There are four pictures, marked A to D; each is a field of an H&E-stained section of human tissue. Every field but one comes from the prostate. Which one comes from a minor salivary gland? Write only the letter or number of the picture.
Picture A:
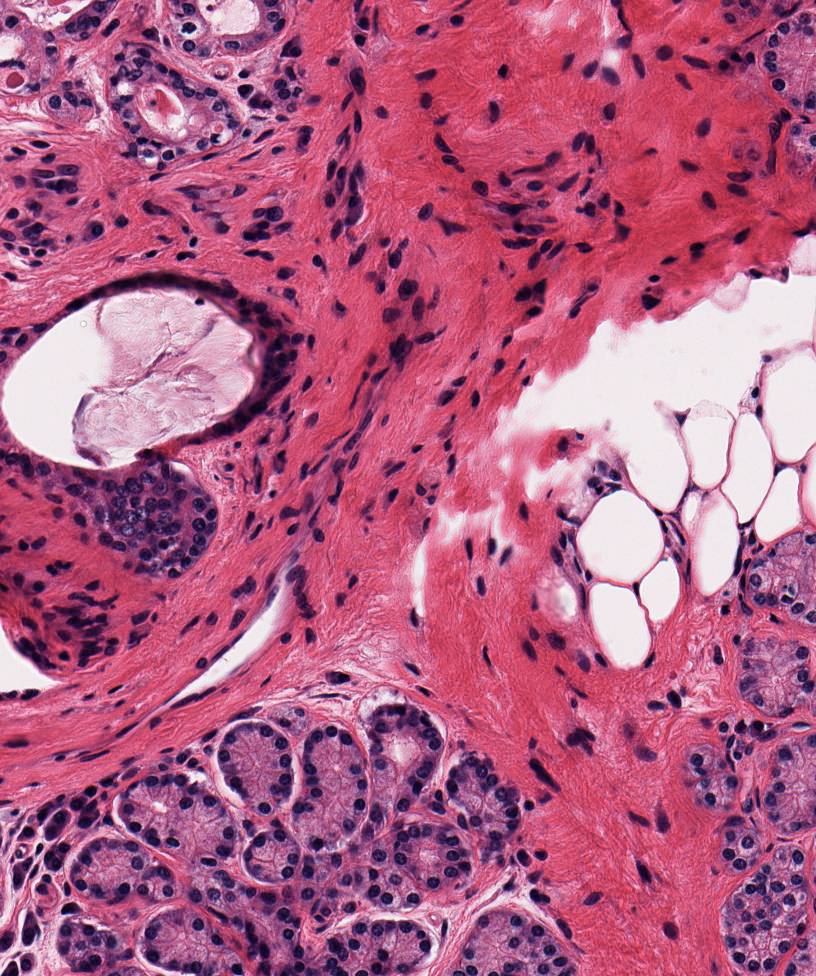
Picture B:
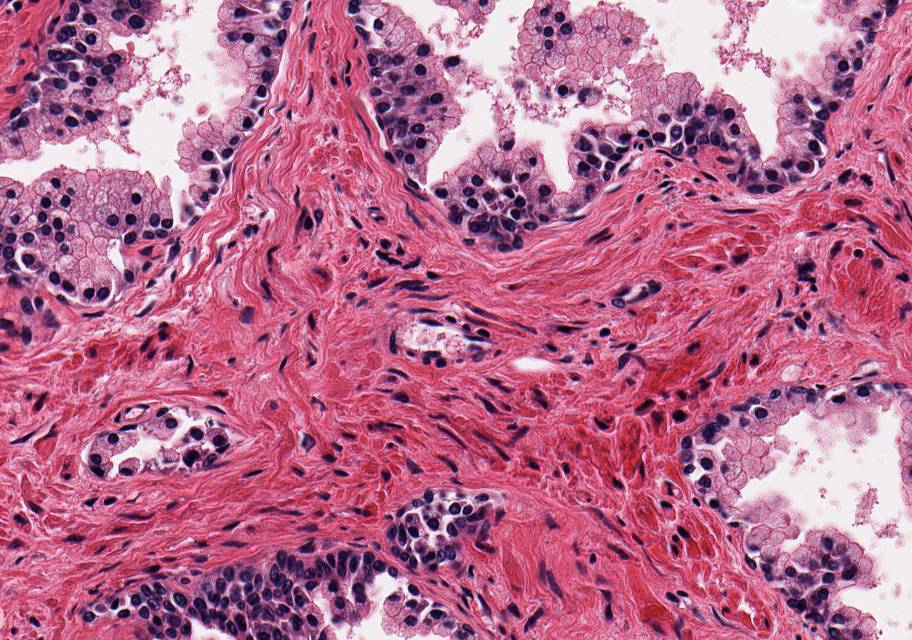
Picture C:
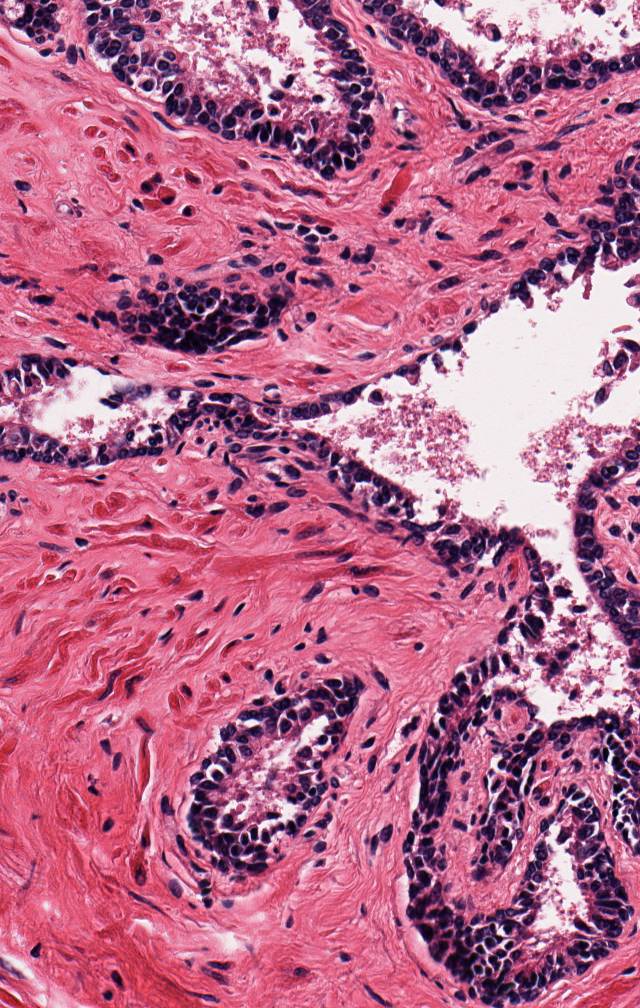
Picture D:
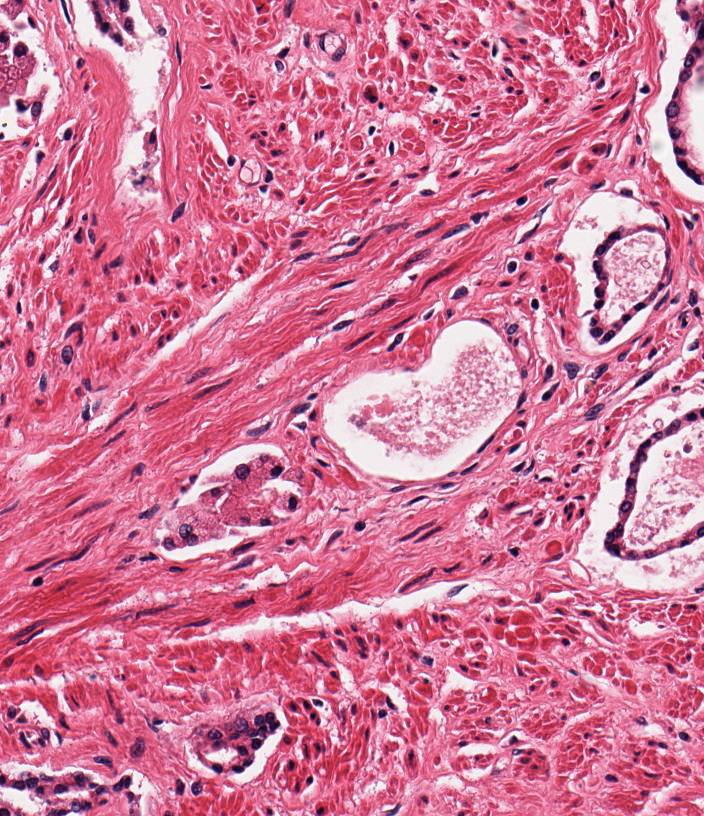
A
